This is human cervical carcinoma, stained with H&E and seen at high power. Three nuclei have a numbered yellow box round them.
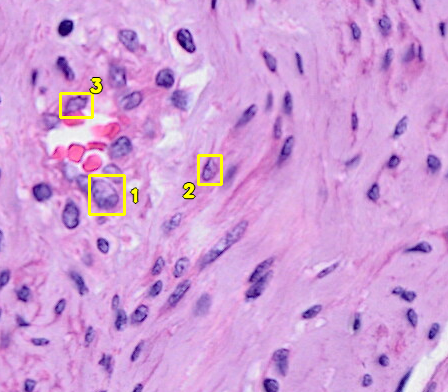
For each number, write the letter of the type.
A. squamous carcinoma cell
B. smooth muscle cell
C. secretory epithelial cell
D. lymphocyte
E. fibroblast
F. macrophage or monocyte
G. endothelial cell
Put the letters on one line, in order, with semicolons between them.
G; B; G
